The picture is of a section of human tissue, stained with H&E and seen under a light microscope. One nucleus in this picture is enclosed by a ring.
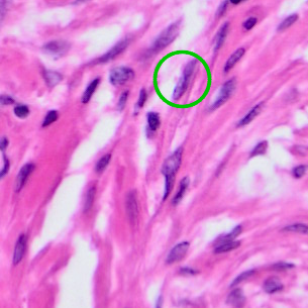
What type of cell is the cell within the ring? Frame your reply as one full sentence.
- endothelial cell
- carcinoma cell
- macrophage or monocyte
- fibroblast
In this preparation, the cell within the ring is a fibroblast.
